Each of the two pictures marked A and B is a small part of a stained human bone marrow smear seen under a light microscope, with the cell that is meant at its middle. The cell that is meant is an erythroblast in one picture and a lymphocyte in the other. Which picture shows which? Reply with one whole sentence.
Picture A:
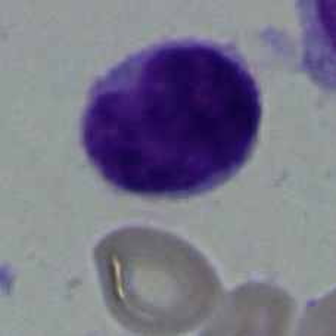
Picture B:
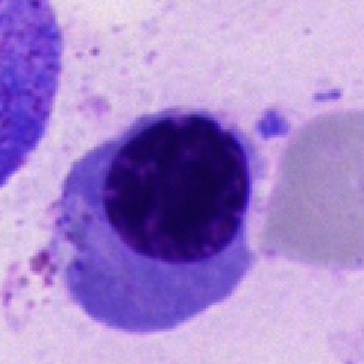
It is picture A that shows a lymphocyte, and picture B that shows an erythroblast.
